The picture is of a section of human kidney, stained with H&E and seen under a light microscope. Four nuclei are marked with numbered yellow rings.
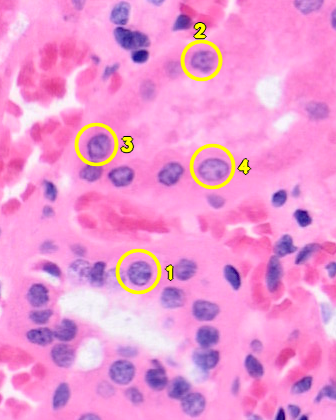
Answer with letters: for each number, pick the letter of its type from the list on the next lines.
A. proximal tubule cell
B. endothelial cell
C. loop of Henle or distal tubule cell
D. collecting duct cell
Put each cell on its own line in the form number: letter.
1: D
2: A
3: A
4: A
